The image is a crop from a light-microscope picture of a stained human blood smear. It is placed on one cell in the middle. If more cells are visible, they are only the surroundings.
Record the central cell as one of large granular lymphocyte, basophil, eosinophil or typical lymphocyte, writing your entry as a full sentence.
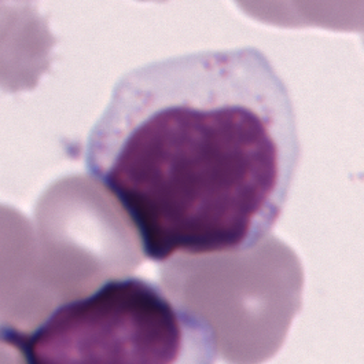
The cell in the middle of the field of view is a large granular lymphocyte.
